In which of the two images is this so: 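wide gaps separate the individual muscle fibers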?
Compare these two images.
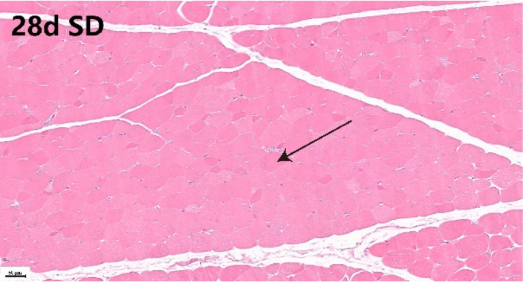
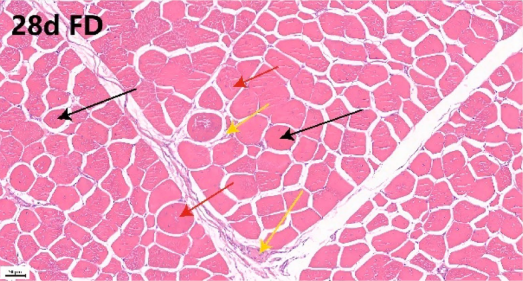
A: The second image.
